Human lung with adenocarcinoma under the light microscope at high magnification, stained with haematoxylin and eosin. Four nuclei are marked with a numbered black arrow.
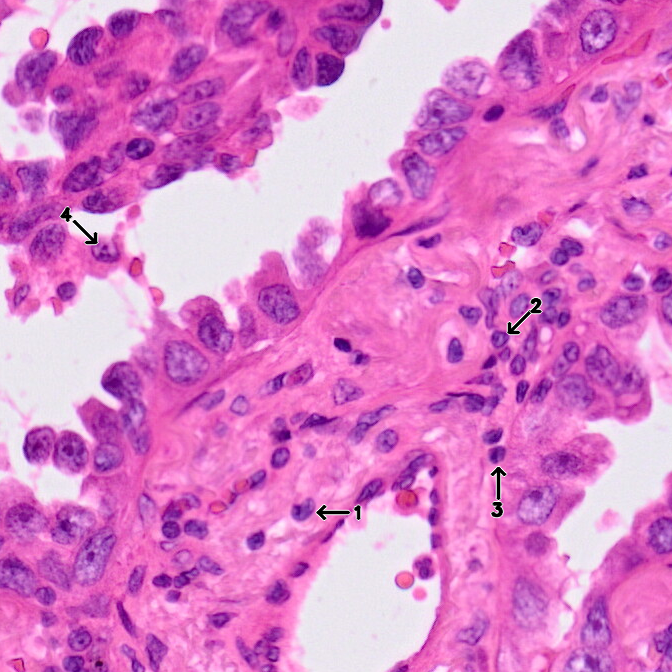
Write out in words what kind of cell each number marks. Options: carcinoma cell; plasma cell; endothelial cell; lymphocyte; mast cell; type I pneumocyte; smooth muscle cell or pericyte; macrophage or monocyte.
Cells 1, 2 and 3 are lymphocytes. Cell 4 is a macrophage or monocyte.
